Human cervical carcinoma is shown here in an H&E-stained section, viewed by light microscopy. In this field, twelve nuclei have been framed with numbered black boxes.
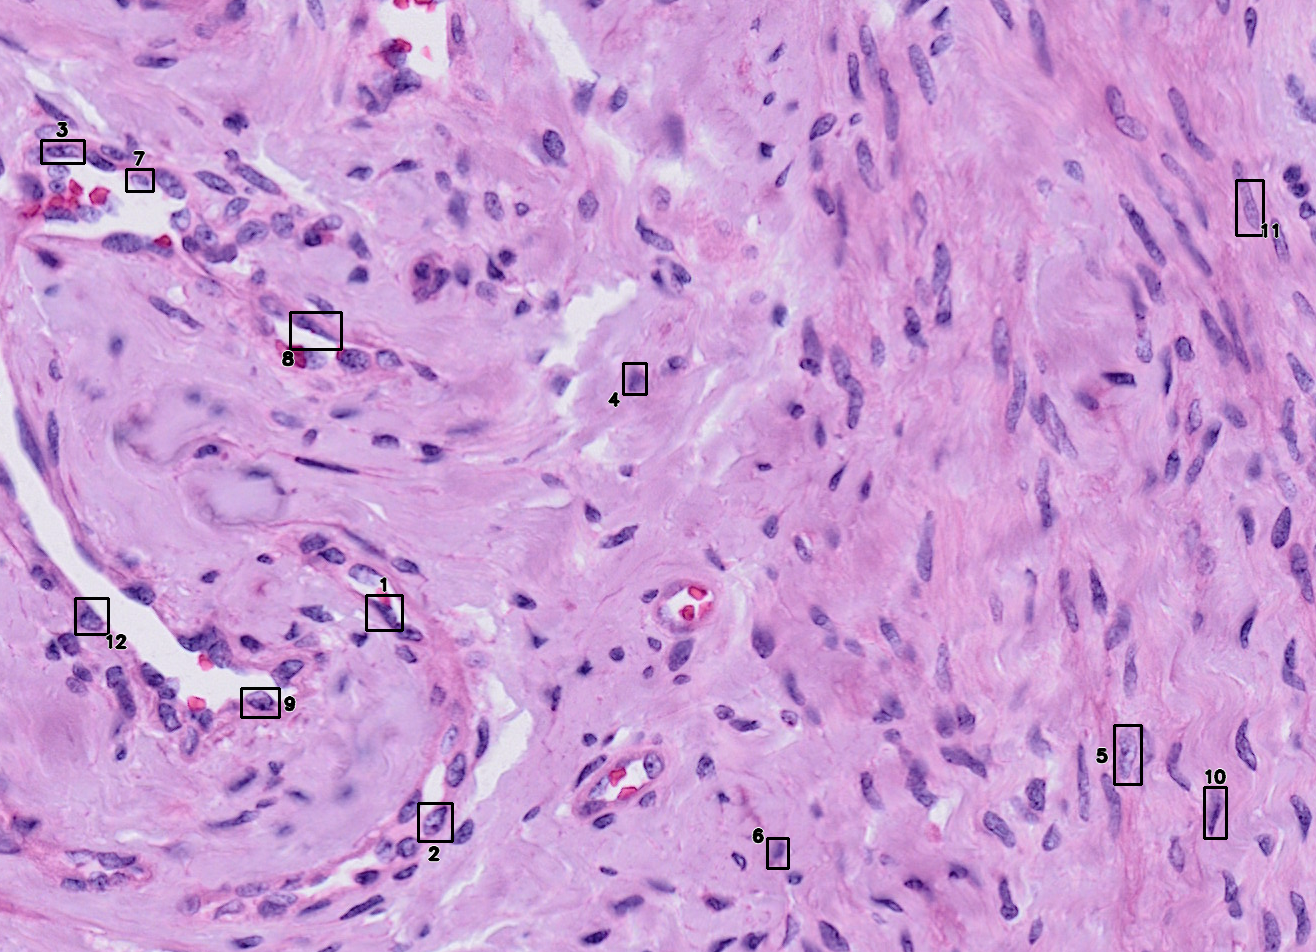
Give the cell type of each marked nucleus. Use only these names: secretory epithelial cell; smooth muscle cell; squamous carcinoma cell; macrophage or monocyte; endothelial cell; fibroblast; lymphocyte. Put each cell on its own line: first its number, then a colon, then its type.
1: endothelial cell
2: endothelial cell
3: endothelial cell
4: fibroblast
5: smooth muscle cell
6: fibroblast
7: endothelial cell
8: endothelial cell
9: endothelial cell
10: fibroblast
11: fibroblast
12: endothelial cell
